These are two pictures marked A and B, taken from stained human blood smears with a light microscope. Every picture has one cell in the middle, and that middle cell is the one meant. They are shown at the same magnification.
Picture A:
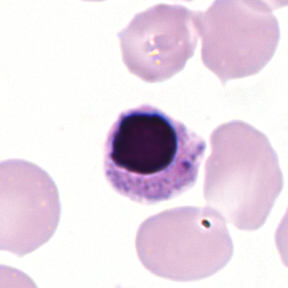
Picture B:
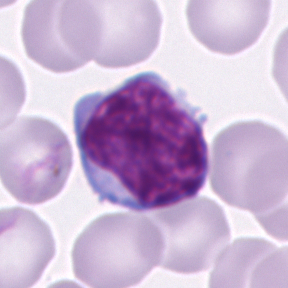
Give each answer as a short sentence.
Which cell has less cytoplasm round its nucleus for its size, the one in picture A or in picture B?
In picture B the nucleus takes up the larger part of its cell.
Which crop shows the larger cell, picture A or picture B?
The cell in picture B is larger, with about 2 times the area of the one in picture A.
